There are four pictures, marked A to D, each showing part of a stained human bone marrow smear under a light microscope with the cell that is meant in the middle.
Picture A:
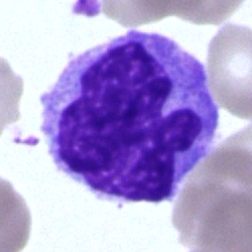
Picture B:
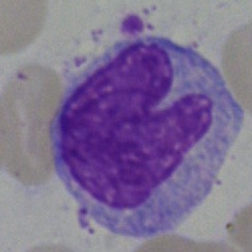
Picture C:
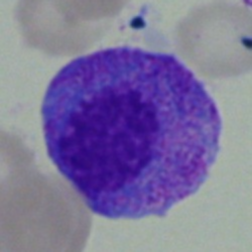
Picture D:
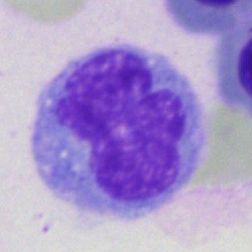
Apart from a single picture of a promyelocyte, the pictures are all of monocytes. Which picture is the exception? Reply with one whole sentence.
Picture C shows the promyelocyte.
